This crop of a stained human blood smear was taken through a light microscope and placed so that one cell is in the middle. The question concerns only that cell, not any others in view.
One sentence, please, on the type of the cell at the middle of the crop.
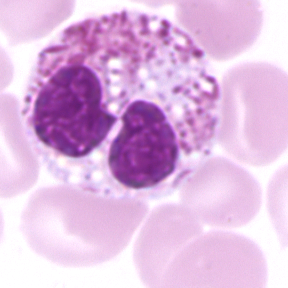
The cell of interest, located centrally, is an eosinophil.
